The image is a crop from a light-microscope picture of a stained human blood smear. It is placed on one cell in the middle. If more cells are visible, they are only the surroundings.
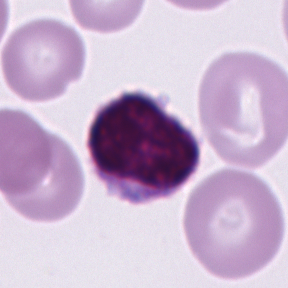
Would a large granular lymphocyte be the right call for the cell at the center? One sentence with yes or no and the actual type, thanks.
No, the one in the center is not a large granular lymphocyte; it is a typical lymphocyte.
